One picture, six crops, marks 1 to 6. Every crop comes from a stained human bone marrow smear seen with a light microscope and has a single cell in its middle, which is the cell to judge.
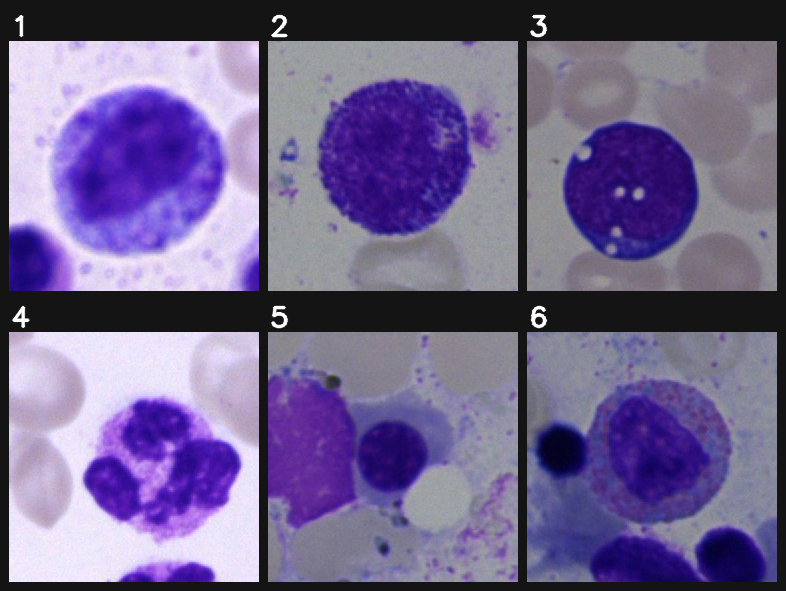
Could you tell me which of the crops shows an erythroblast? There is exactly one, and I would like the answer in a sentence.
Crop 5 represents an erythroblast, while the other crops do not.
